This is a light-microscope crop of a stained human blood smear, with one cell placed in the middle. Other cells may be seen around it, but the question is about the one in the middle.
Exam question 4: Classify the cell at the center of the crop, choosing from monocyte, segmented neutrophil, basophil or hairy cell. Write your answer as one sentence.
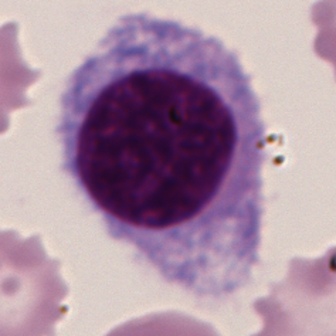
The crop centres on a single cell, and that cell is a hairy cell.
